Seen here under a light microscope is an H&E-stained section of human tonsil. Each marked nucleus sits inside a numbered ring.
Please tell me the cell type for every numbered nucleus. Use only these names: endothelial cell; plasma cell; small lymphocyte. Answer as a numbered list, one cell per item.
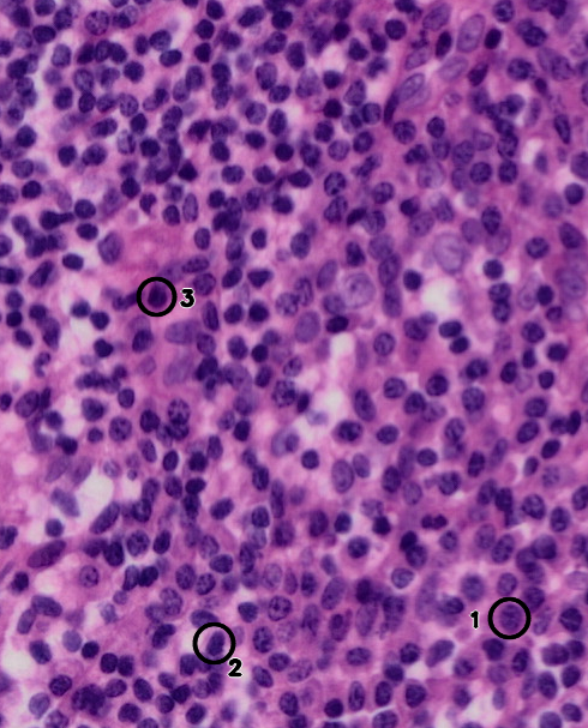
1. plasma cell
2. small lymphocyte
3. endothelial cell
